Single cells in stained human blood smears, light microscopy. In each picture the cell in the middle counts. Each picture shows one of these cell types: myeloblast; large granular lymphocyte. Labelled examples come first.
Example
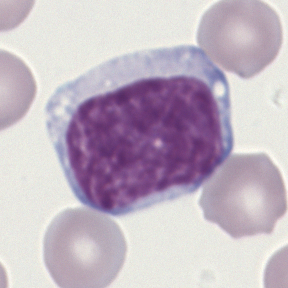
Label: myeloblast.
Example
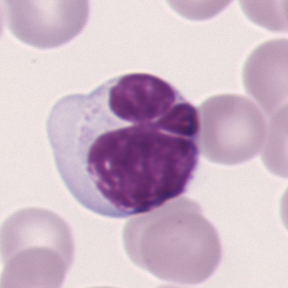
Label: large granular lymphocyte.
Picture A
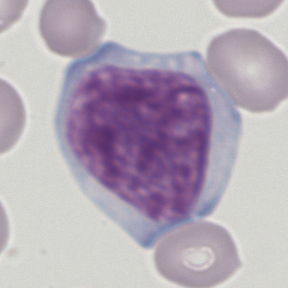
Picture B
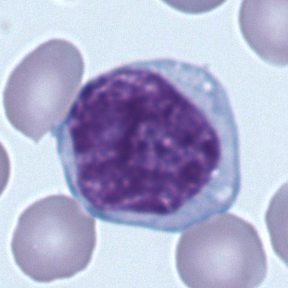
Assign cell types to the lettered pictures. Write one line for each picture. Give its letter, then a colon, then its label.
A: myeloblast.
B: myeloblast.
